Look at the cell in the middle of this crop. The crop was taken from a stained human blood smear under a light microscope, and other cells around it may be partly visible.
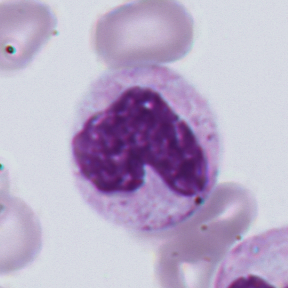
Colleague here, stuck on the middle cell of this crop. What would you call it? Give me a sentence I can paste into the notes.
The single cell at the center of the crop is a band neutrophil.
